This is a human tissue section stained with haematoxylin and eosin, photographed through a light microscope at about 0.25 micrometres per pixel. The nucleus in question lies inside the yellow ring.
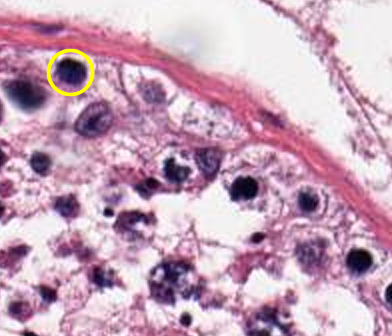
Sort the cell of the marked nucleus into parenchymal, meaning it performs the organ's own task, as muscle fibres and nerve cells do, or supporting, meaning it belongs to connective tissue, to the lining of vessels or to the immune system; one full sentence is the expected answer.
The marked nucleus belongs to one of the parenchymal cells, namely a spermatogonium.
